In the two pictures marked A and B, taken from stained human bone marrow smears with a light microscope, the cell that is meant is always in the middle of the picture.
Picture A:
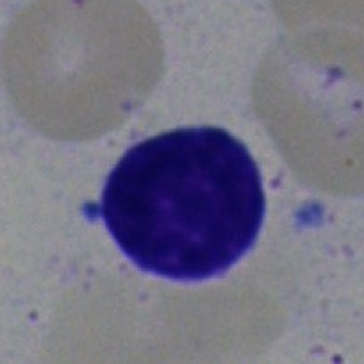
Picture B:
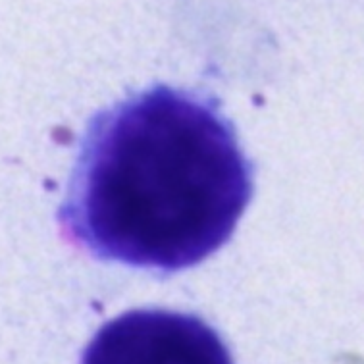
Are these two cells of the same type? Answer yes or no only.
yes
